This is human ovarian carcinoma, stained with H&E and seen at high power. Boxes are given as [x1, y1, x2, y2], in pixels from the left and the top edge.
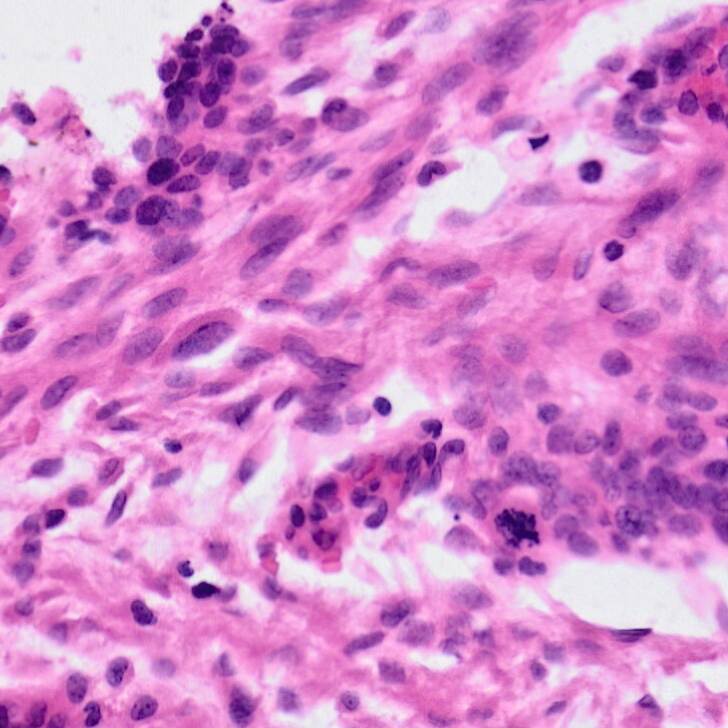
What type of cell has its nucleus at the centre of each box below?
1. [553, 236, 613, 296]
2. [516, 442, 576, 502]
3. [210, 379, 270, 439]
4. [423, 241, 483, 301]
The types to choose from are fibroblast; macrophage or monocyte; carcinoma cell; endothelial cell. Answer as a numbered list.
1. fibroblast
2. carcinoma cell
3. fibroblast
4. fibroblast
